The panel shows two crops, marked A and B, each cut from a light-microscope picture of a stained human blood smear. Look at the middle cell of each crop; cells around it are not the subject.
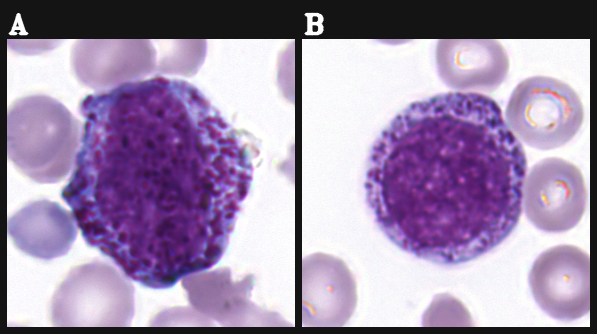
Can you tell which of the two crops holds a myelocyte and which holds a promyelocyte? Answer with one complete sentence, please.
The cell of crop A is a promyelocyte; that of crop B is a myelocyte.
